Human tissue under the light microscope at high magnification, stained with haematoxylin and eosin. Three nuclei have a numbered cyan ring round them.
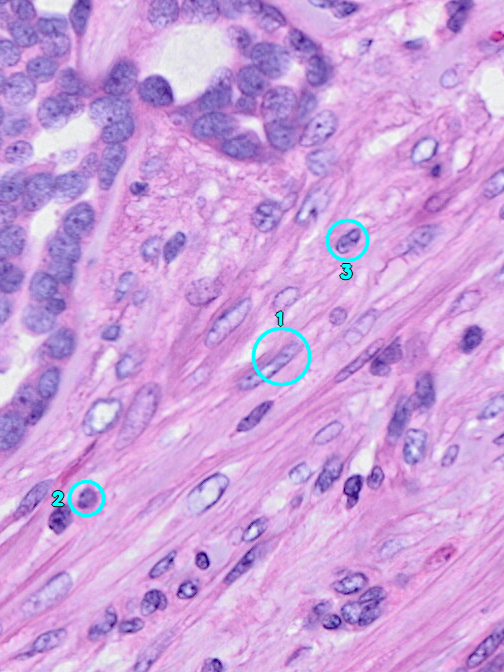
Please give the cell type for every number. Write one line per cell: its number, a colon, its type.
1: fibroblast
2: macrophage or monocyte
3: macrophage or monocyte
